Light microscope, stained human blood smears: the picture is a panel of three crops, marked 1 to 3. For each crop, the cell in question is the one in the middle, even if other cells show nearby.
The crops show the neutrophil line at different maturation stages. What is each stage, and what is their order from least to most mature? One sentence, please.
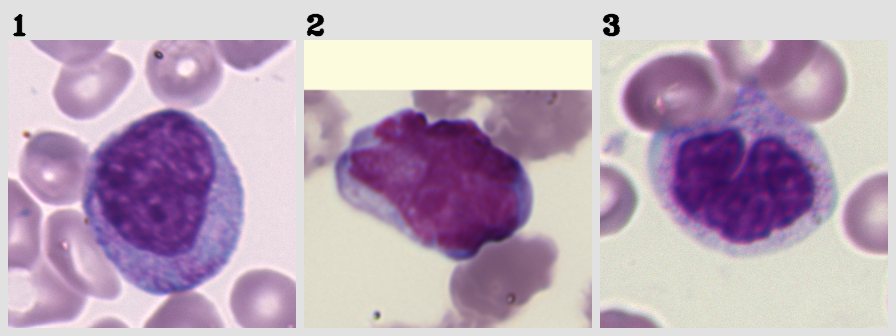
In order of rising maturity, the sequence is crop 2 (a myeloblast), crop 1 (a promyelocyte) and crop 3 (a band neutrophil).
